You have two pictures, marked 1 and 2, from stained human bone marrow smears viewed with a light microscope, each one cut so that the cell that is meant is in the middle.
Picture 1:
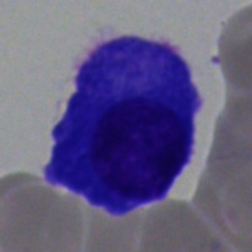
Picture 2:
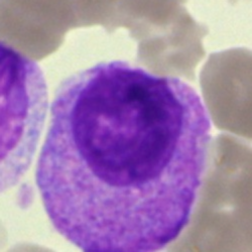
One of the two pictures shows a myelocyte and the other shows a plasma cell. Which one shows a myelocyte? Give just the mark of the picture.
2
